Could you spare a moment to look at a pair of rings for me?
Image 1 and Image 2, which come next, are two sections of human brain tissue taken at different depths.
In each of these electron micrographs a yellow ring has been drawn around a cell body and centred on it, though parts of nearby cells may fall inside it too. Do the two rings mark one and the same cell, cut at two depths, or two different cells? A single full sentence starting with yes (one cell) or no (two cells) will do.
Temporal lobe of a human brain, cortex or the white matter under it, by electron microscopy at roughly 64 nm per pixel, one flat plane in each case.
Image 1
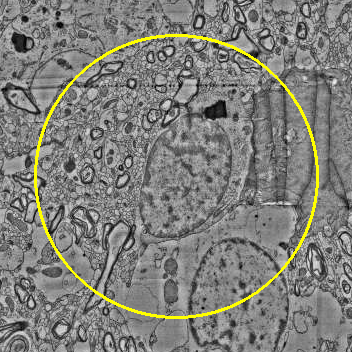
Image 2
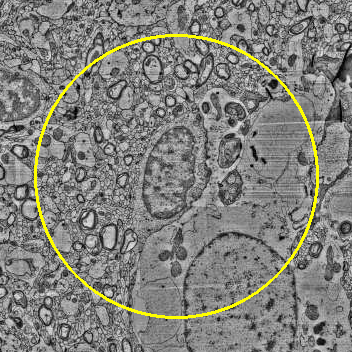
Yes, both marked profiles belong to the very same cell.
